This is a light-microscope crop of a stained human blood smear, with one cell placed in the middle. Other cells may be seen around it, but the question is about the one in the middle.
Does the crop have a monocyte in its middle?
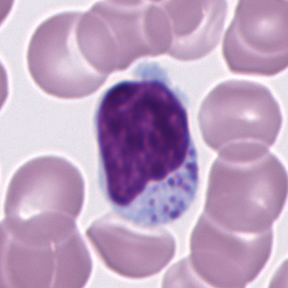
no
